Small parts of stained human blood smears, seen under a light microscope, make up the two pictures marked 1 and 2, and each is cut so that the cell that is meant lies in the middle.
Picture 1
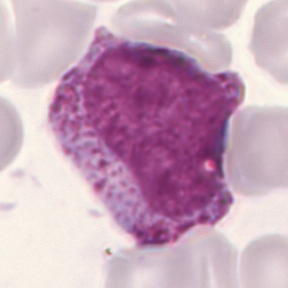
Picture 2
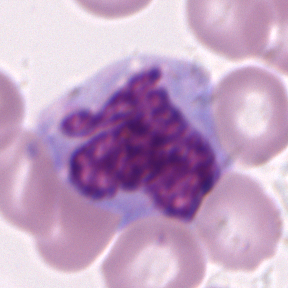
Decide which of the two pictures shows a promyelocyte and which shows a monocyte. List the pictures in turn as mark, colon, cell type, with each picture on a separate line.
1: promyelocyte
2: monocyte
